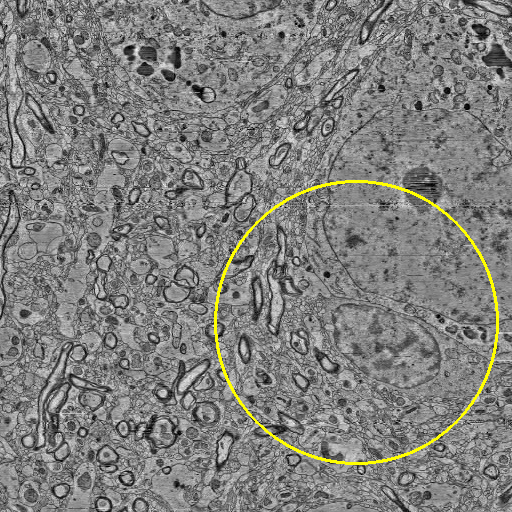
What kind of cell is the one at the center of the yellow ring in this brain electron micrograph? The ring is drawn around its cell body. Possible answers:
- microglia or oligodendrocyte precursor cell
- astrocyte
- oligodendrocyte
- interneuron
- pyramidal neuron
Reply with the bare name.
oligodendrocyte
